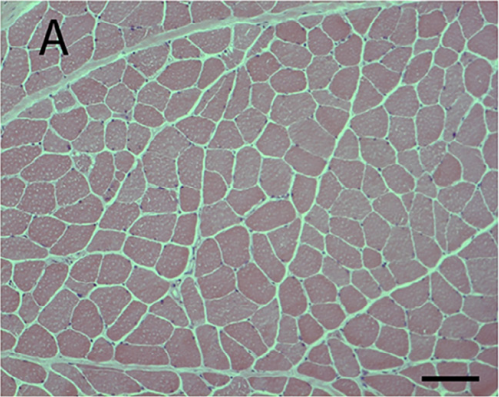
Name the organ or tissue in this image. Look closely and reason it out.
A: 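Closely packed polygonal fibres cut in cross-section. Small dark nuclei lie at the edges of the fibres. Thin connective tissue septa separate groups of fibres. On this evidence: skeletal muscle.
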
